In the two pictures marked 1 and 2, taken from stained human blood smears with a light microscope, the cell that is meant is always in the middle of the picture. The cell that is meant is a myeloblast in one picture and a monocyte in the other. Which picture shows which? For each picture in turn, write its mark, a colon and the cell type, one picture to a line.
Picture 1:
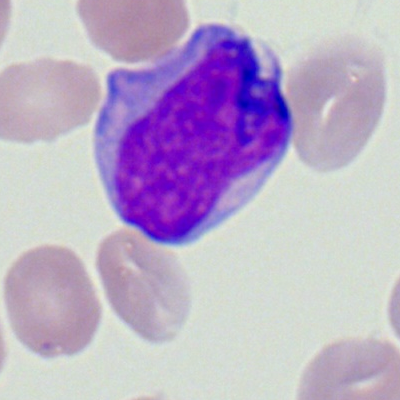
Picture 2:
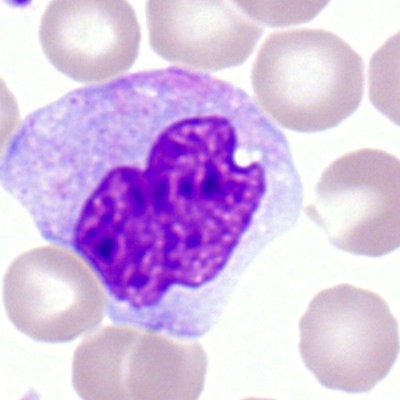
1: myeloblast
2: monocyte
